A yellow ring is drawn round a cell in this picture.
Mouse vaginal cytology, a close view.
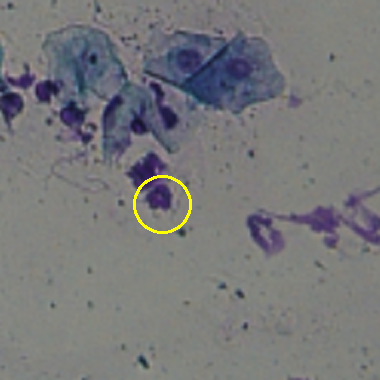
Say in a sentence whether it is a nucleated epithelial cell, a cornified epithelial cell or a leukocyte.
The cell in the ring is a leukocyte.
